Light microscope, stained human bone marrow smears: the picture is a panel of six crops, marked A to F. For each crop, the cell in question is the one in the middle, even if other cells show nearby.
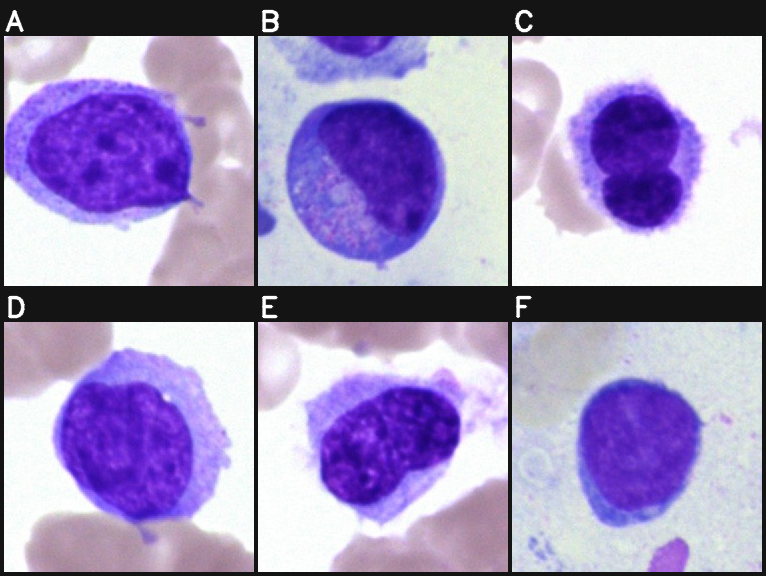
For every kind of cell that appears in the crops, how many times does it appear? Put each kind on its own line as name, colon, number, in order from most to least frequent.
blast: 4
hairy cell: 2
